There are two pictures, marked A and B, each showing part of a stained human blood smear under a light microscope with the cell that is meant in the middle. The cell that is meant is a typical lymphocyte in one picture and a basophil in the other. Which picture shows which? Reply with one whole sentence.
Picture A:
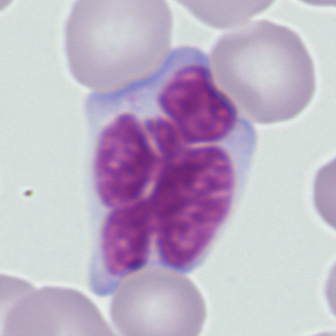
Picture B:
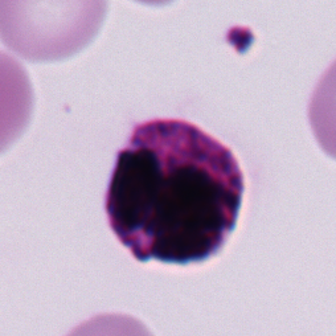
Picture B shows a basophil, while picture A shows a typical lymphocyte.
